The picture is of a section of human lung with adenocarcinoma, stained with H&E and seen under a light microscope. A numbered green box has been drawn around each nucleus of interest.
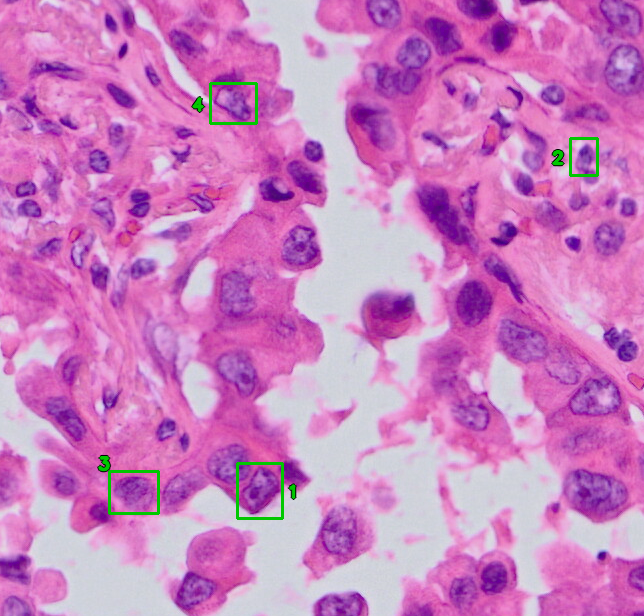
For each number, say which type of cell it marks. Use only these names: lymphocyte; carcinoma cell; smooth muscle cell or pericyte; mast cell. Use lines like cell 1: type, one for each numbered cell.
cell 1: carcinoma cell
cell 2: lymphocyte
cell 3: carcinoma cell
cell 4: carcinoma cell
